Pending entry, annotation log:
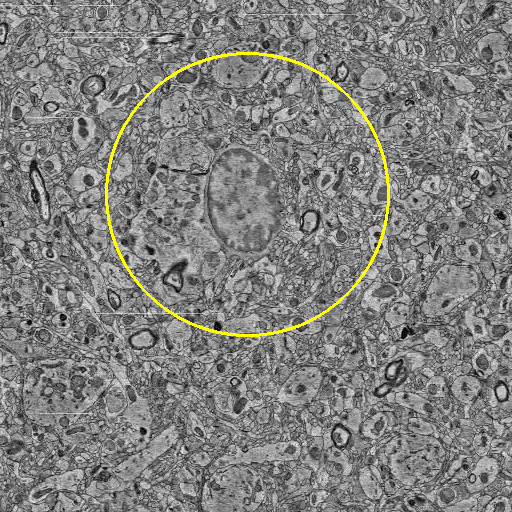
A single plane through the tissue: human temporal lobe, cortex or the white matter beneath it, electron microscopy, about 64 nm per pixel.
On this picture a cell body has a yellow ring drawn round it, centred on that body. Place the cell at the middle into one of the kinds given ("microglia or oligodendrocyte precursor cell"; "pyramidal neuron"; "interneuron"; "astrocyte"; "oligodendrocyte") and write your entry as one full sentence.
The cell body at the middle of the yellow ring belongs to an oligodendrocyte.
